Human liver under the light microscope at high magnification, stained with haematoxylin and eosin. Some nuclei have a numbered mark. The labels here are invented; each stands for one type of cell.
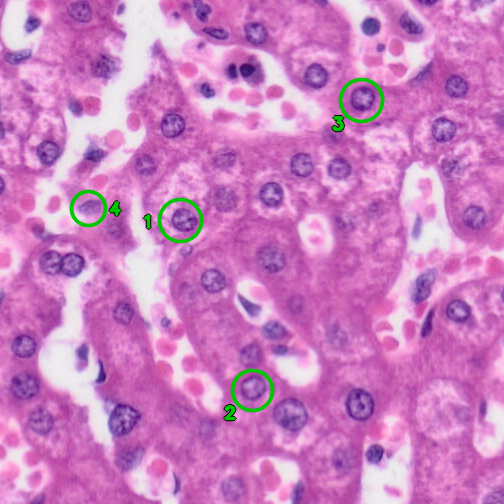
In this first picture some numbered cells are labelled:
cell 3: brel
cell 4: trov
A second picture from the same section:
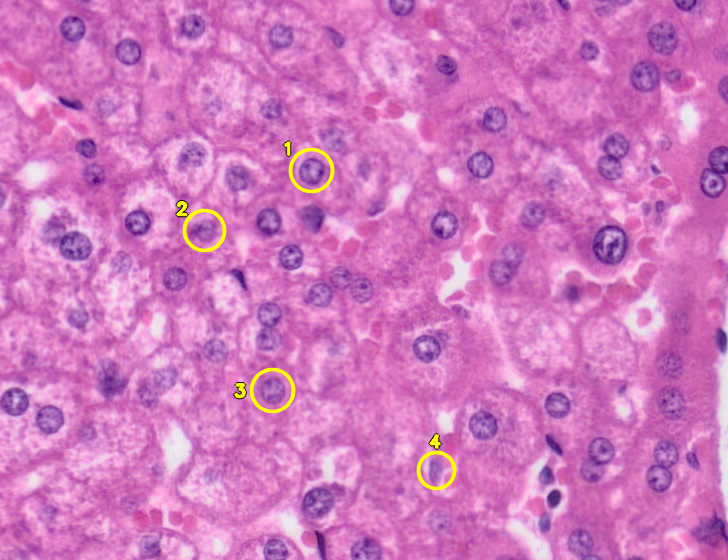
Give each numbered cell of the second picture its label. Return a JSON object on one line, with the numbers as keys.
{"1": "brel", "2": "brel", "3": "brel", "4": "trov"}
